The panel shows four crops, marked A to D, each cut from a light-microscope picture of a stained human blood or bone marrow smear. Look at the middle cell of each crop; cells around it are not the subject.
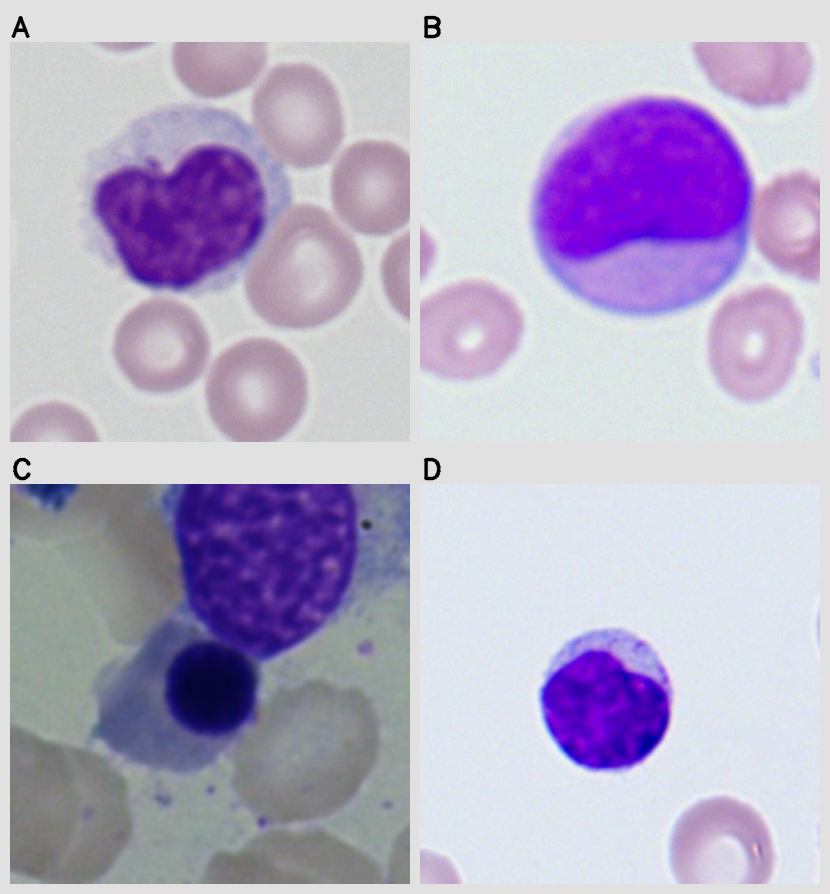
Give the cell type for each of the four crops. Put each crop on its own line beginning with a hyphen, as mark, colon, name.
- A: lymphocyte
- B: blast
- C: erythroblast
- D: lymphocyte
